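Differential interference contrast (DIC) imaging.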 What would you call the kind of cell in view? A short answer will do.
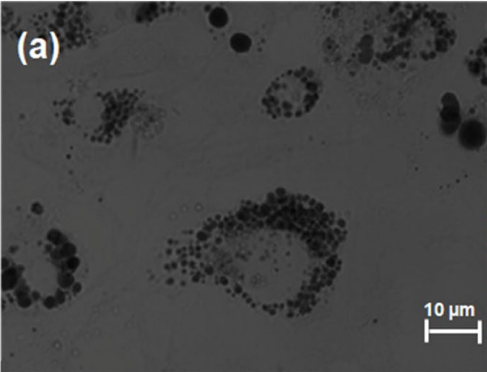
adipocyte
